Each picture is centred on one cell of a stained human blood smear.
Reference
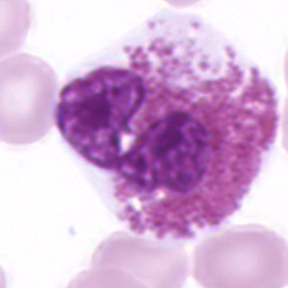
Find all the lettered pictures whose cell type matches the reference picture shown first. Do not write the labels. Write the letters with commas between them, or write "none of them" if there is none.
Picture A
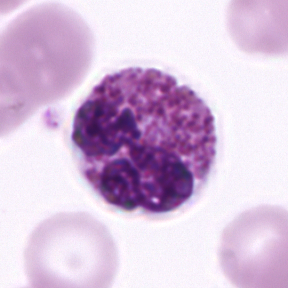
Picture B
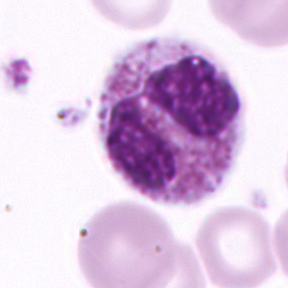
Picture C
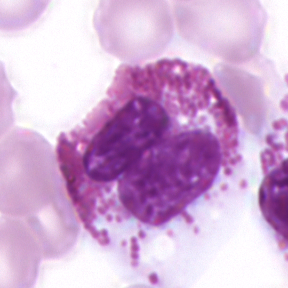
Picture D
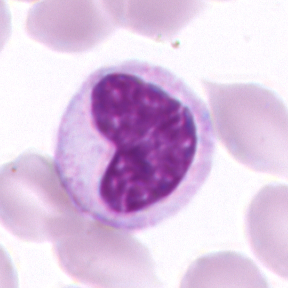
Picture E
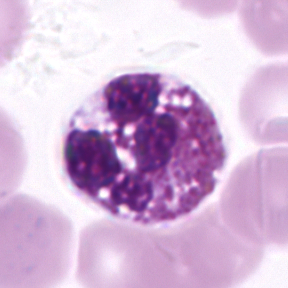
A, B, C, E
